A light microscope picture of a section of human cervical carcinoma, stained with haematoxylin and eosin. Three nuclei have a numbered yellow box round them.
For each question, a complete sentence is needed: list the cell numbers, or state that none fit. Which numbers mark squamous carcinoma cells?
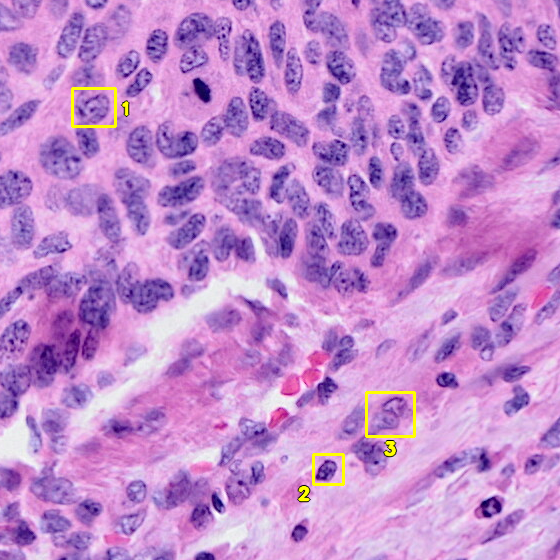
The only cell among those numbered to be a squamous carcinoma cell is number 1.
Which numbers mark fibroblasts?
Taken together, the numbered cells include no fibroblasts.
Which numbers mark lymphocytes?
Among all the marked cells, a lymphocyte is found only at number 2.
